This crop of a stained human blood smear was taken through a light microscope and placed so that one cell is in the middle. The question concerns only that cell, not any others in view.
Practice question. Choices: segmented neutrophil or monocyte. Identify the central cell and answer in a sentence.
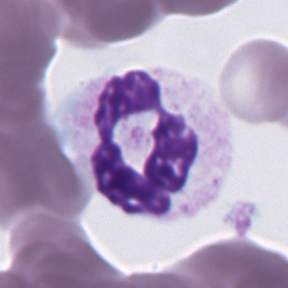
For this crop, the cell in the middle is a segmented neutrophil.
